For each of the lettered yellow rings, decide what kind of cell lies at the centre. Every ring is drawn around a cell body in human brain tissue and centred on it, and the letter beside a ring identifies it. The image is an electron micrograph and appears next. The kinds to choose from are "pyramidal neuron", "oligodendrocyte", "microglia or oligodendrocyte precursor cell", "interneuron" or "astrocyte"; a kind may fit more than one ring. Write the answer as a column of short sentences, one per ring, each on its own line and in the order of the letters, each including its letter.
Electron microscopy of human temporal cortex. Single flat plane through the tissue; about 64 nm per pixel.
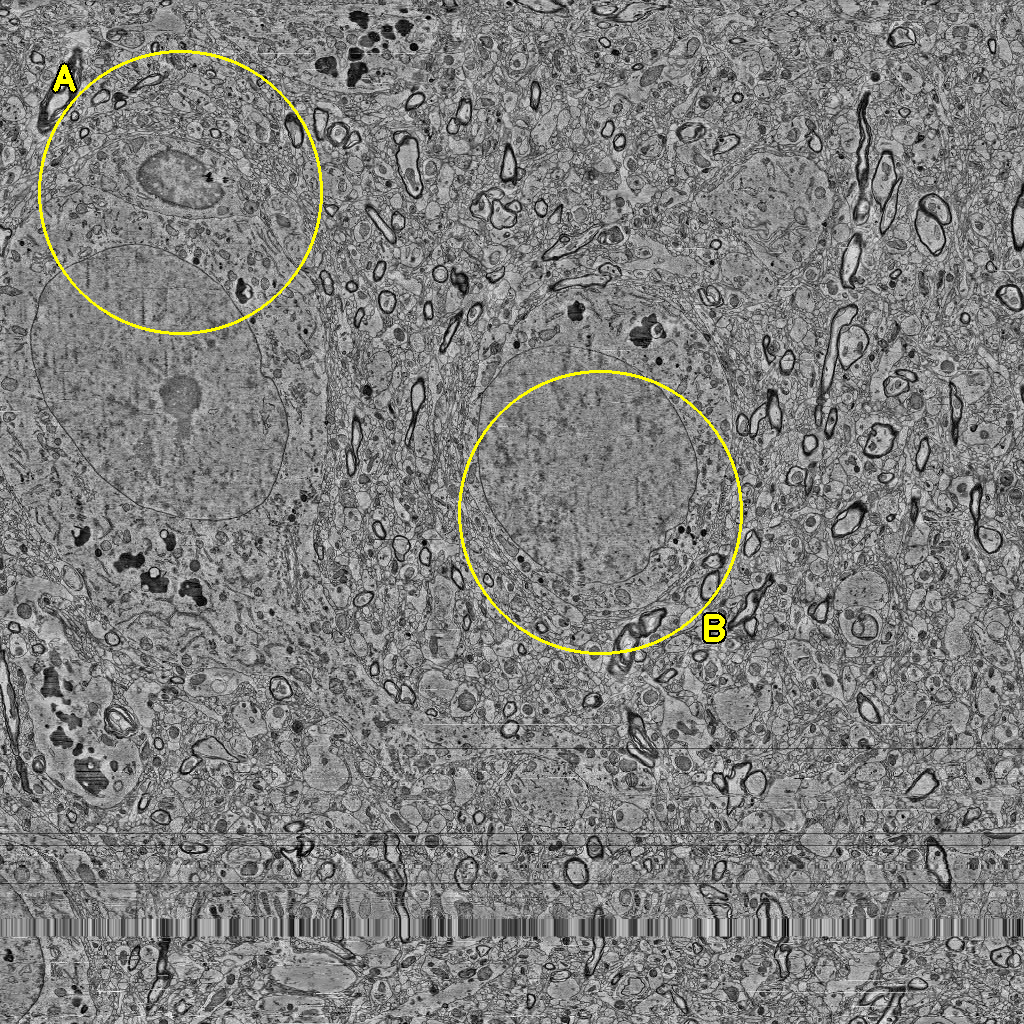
In the centre of ring A lies an oligodendrocyte.
In the centre of ring B lies a pyramidal neuron.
